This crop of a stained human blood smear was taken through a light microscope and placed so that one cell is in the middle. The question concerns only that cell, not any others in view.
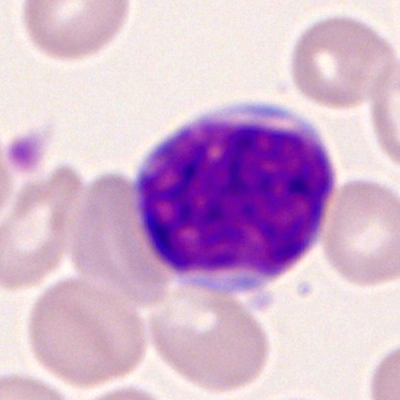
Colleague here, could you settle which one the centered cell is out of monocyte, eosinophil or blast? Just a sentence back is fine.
On this slide crop, the central cell is a blast.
